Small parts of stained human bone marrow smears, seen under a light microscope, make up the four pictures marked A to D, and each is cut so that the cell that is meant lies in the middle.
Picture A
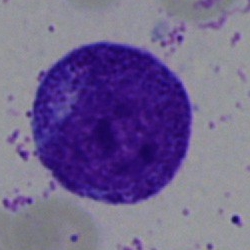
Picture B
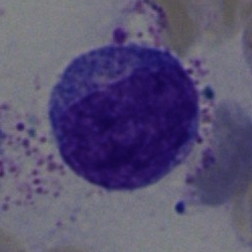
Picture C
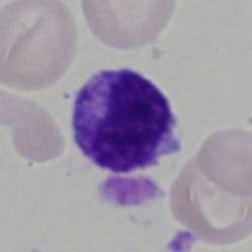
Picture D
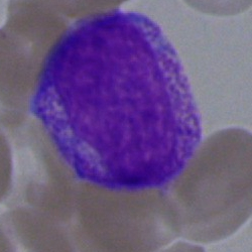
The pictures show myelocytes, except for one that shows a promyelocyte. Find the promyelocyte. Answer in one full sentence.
The cell in picture A is the promyelocyte.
